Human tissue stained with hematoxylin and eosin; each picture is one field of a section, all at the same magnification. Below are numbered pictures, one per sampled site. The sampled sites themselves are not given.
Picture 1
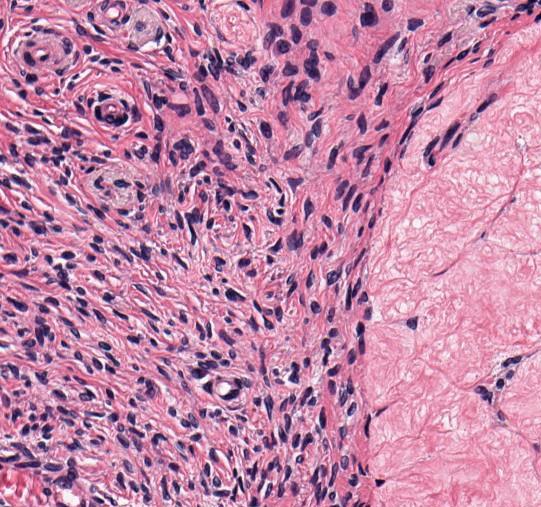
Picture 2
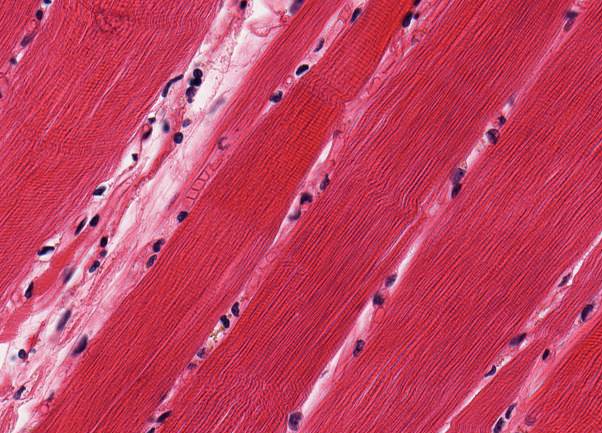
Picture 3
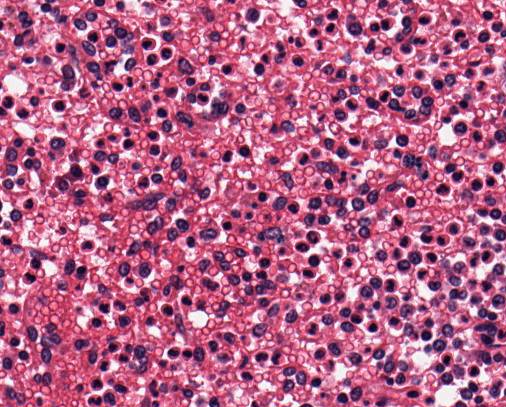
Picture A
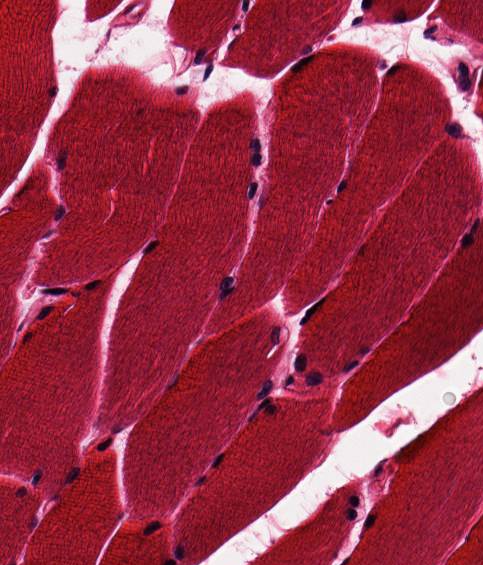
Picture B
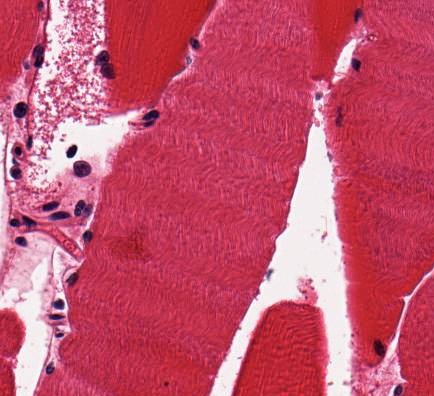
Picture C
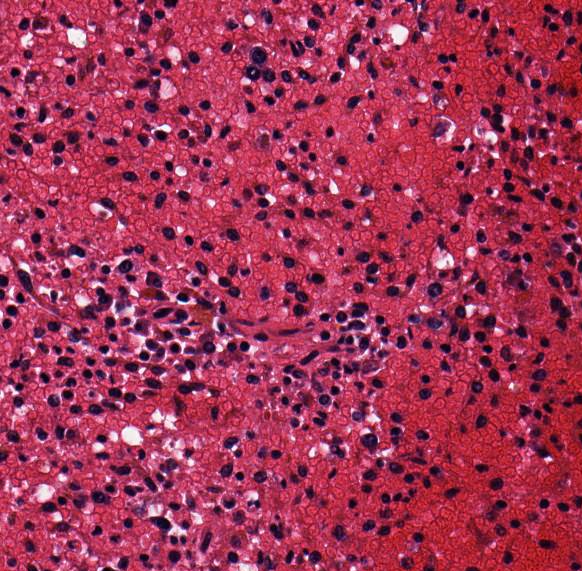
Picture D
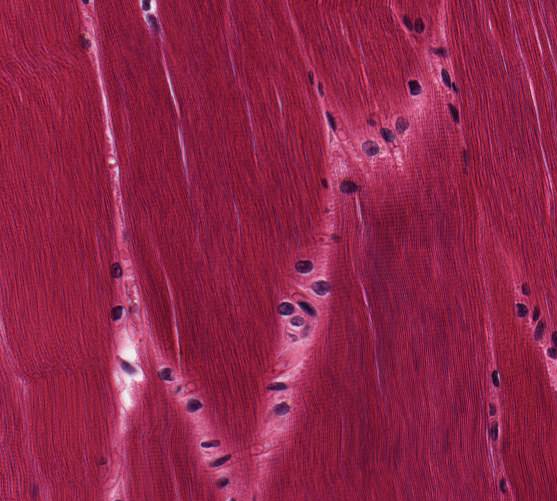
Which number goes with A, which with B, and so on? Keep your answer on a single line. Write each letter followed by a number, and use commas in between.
A 2, B 2, C 3, D 2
